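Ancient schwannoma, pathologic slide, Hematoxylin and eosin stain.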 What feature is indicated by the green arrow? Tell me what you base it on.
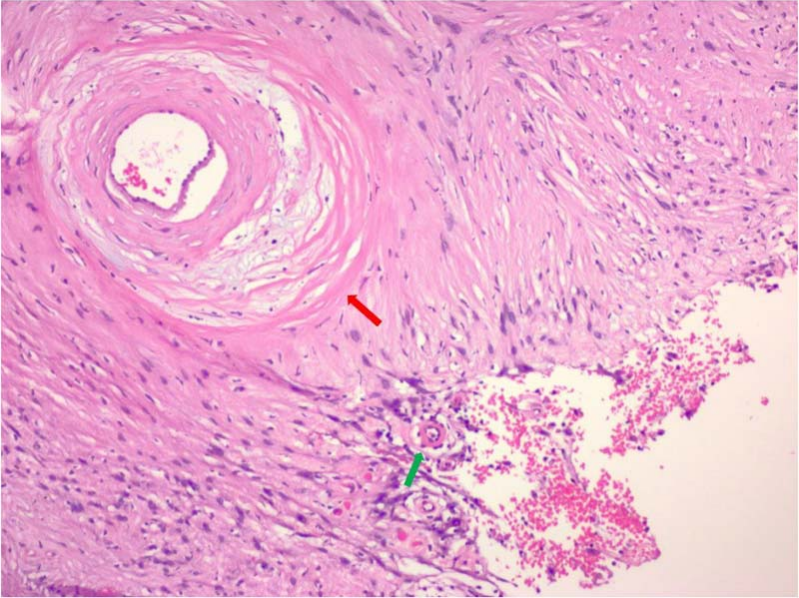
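The green arrow points to a small round structure with a central lumen. The structure has a ring of homogeneous pink wall. It lies at the edge of a space filled with red blood cells.
Hence: hyalinizing vessel.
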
